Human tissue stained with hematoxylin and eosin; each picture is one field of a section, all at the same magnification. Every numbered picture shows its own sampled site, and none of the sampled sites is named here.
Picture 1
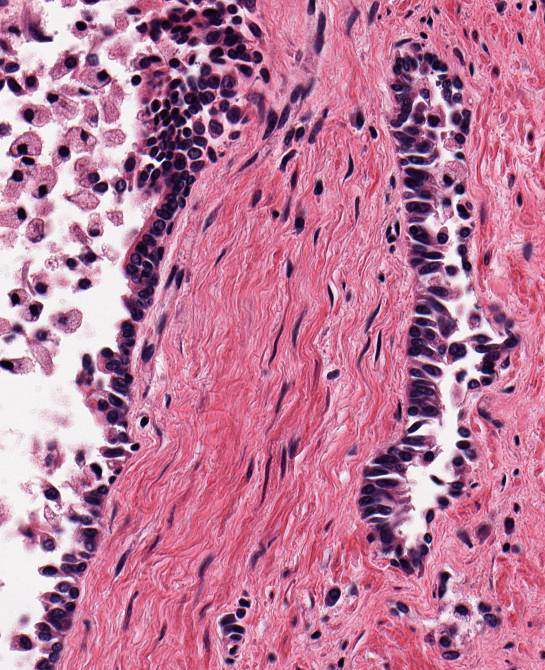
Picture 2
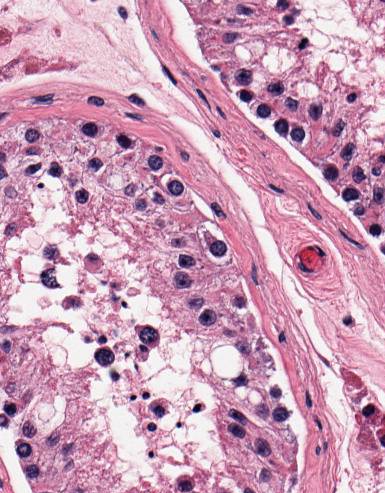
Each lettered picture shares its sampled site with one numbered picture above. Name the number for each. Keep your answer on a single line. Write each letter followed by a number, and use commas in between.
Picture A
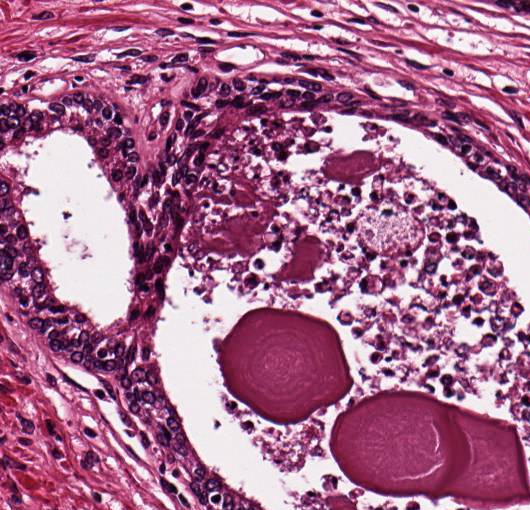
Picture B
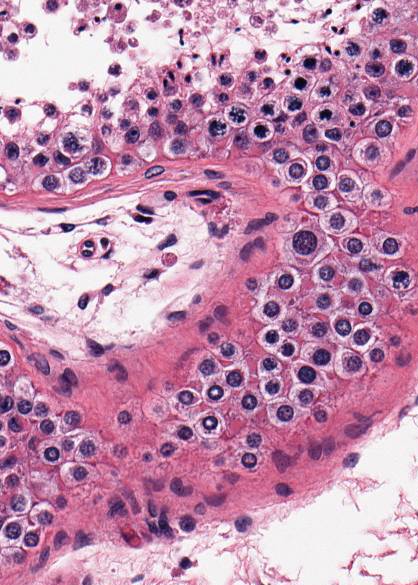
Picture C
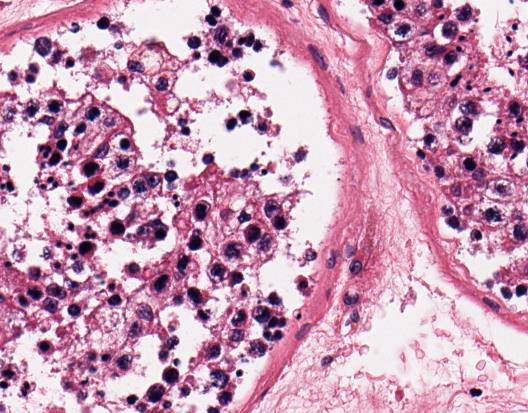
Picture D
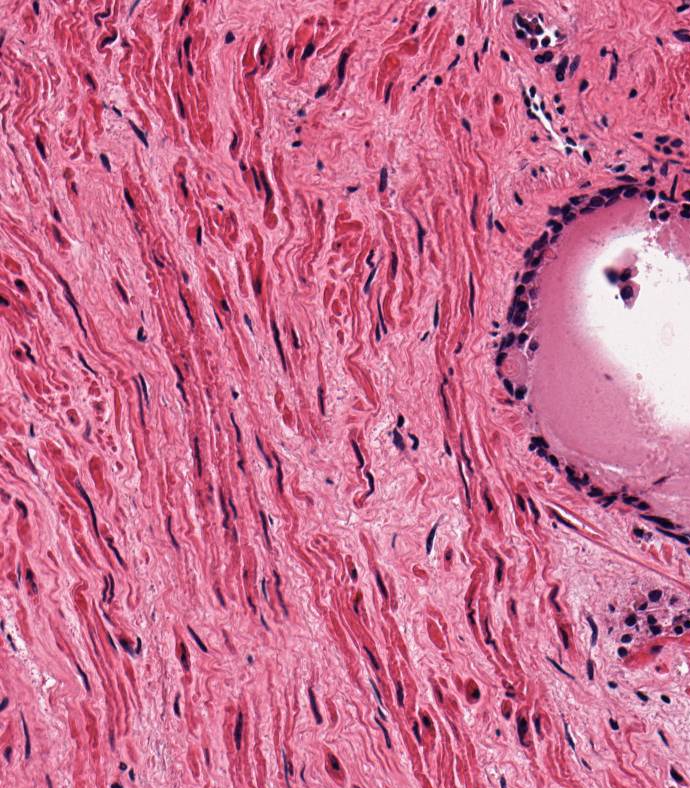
A 1, B 2, C 2, D 1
